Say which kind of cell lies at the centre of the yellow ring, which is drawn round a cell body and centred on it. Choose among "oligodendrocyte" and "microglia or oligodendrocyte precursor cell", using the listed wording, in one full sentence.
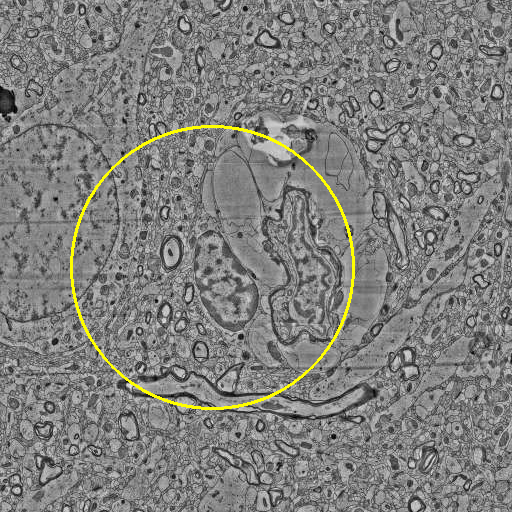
Going by the list, the cell at the yellow ring's centre is a microglial cell or oligodendrocyte precursor cell.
